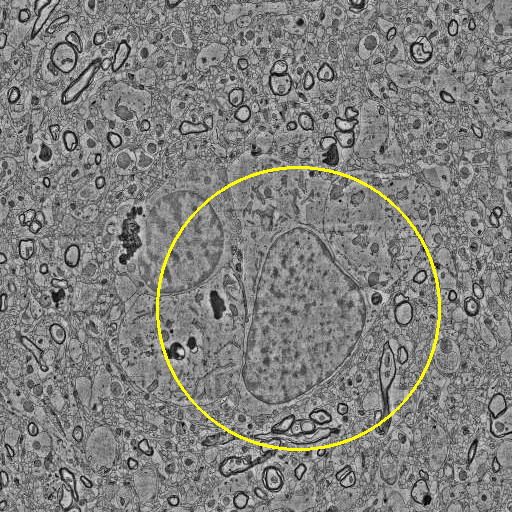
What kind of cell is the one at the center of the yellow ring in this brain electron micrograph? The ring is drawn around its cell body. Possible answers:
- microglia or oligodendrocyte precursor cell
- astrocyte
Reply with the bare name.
microglia or oligodendrocyte precursor cell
